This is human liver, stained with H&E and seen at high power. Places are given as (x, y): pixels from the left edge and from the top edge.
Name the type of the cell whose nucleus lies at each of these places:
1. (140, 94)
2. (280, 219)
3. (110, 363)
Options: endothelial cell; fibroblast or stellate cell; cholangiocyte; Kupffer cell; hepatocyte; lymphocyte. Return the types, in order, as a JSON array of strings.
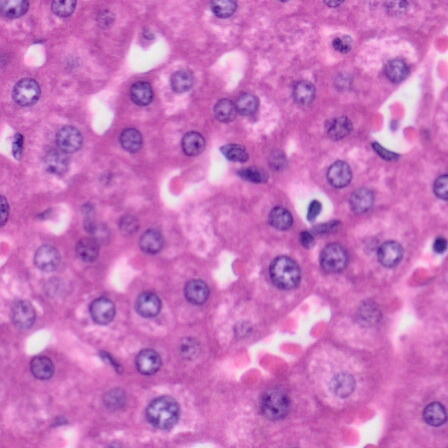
["hepatocyte", "hepatocyte", "endothelial cell"]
